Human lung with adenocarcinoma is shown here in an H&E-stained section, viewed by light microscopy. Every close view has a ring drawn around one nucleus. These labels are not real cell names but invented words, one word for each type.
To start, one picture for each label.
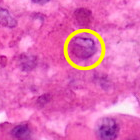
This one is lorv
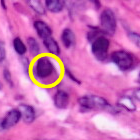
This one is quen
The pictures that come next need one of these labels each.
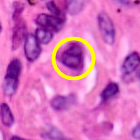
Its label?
quen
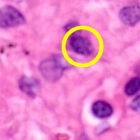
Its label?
quen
